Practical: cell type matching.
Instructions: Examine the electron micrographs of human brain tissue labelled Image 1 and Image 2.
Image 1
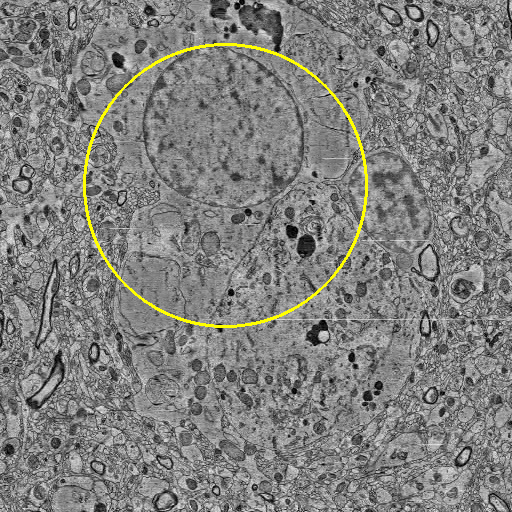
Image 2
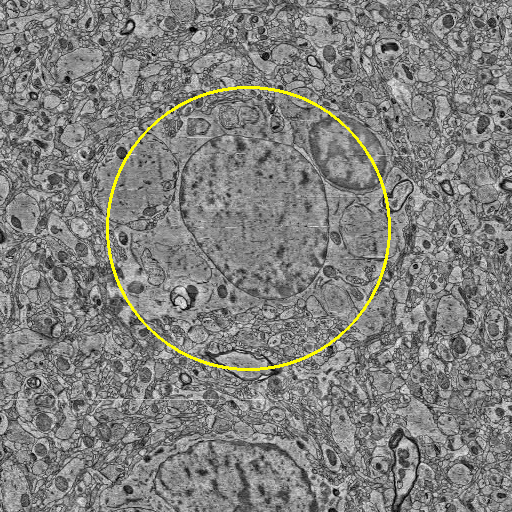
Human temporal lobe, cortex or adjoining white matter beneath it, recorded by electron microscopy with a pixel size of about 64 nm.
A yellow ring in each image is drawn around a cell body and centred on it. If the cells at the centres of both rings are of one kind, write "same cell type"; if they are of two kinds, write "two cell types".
same cell type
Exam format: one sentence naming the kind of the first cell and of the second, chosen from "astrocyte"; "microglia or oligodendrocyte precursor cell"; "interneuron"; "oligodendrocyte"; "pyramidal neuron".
Both the first and the second picture show an astrocyte in the ring.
